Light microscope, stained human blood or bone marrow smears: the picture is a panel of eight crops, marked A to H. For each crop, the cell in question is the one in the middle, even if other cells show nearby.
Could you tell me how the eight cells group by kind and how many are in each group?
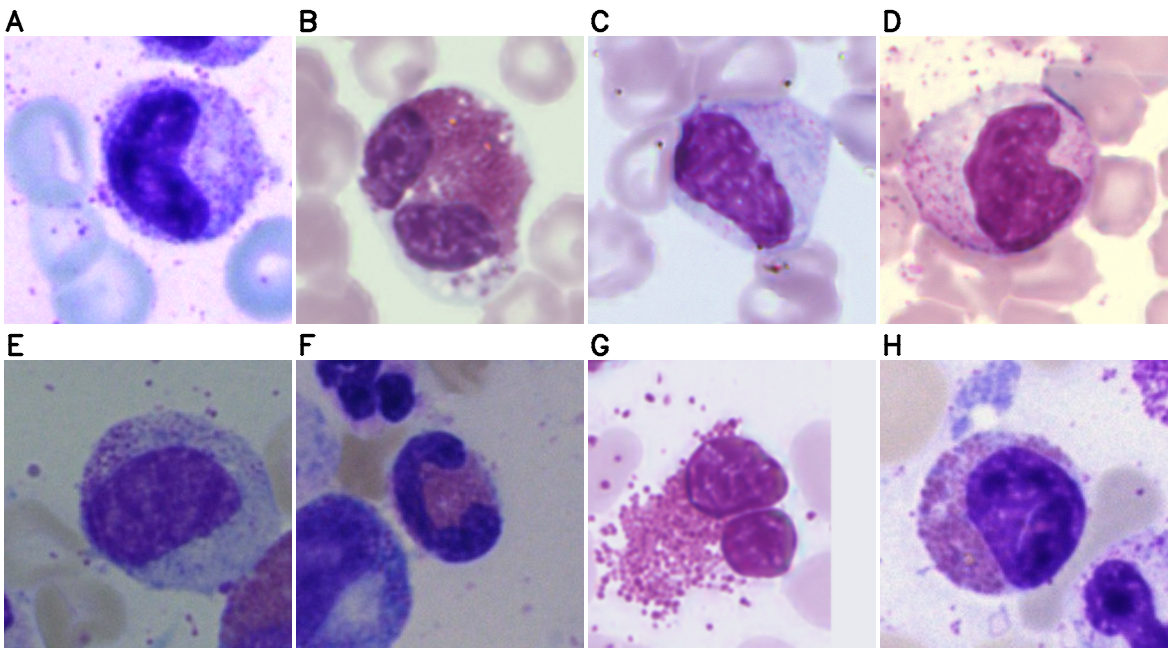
metamyelocyte: 4
eosinophil: 4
